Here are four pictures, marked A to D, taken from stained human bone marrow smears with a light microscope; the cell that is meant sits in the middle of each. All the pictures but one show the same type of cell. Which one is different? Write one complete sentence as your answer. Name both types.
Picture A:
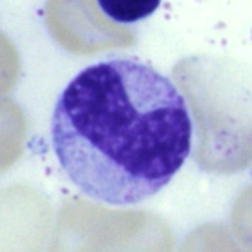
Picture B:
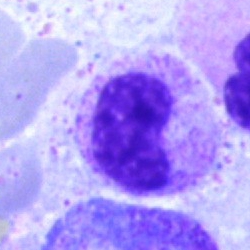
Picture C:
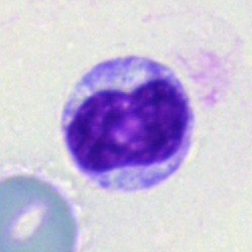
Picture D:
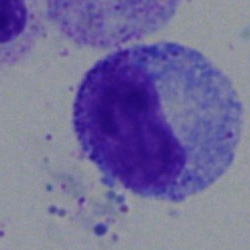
Picture A differs, because its cell is a band neutrophil and the rest are metamyelocytes.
